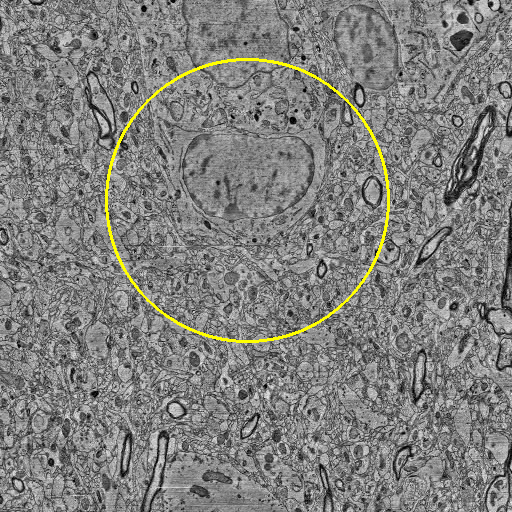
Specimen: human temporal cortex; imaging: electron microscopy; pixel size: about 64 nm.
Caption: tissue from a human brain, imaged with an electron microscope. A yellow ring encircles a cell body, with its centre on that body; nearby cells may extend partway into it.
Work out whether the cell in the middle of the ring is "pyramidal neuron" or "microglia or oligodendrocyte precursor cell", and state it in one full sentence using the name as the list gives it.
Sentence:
In the picture, the cell that the yellow ring surrounds at its centre is a microglial cell or oligodendrocyte precursor cell.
